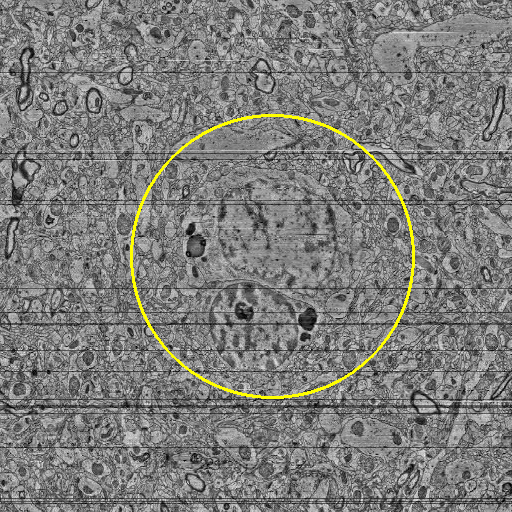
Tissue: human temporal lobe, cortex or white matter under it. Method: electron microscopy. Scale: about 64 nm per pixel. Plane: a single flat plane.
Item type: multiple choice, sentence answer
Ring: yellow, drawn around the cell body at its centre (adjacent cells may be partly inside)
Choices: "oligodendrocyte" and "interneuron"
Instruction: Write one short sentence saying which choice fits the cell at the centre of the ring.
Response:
This ring is drawn around an interneuron.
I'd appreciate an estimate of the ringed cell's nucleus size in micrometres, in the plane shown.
Roughly 8 by 7 micrometres is the size of the nucleus in this plane.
